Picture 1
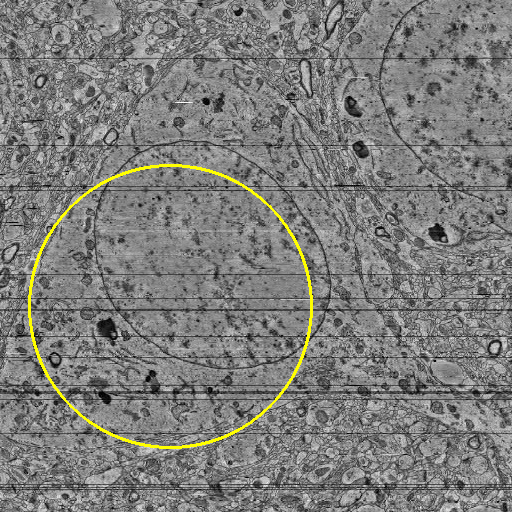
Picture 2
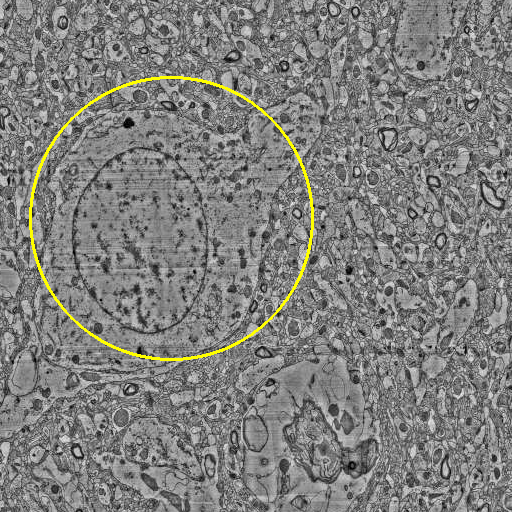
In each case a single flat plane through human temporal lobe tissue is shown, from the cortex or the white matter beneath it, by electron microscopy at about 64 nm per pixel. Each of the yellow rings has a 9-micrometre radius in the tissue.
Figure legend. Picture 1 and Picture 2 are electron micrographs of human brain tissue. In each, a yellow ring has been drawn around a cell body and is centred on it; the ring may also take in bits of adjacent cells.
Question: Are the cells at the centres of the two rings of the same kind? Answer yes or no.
yes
